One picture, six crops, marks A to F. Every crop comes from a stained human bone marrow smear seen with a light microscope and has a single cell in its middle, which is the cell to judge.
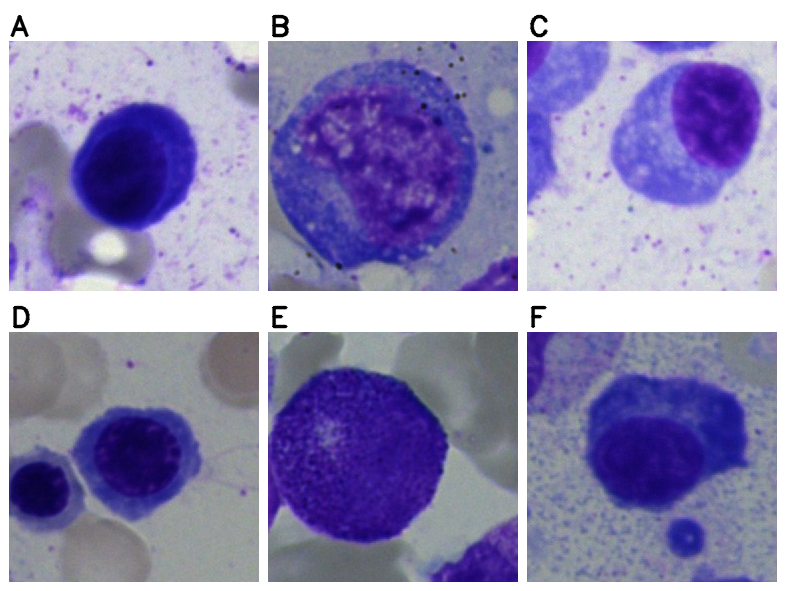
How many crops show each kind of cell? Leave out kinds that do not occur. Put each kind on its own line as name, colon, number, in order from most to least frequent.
plasma cell: 3
promyelocyte: 2
erythroblast: 1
